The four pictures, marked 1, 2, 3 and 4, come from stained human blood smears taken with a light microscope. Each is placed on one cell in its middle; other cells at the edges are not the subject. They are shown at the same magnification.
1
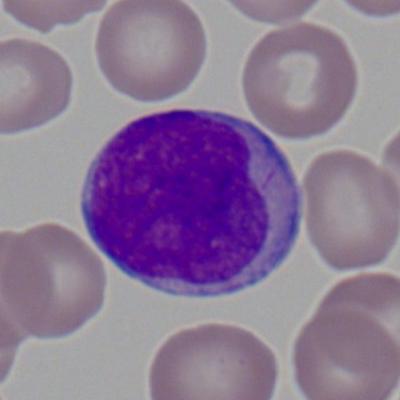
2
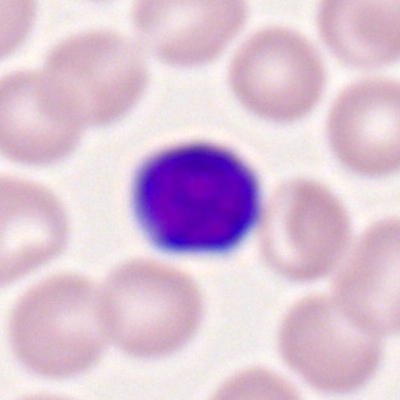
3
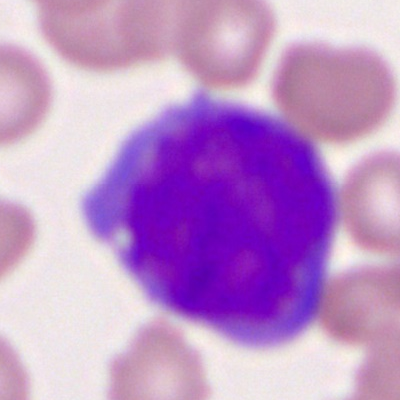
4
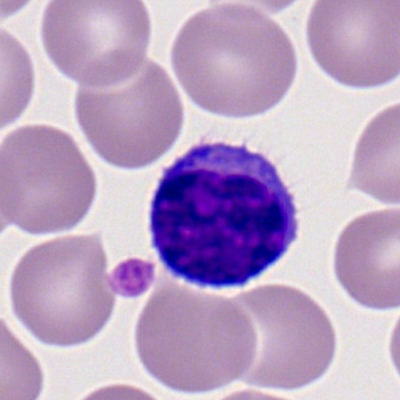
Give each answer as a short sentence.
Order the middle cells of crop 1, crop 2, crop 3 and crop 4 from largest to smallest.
From the largest down, the order is 3, 1, 4, 2.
